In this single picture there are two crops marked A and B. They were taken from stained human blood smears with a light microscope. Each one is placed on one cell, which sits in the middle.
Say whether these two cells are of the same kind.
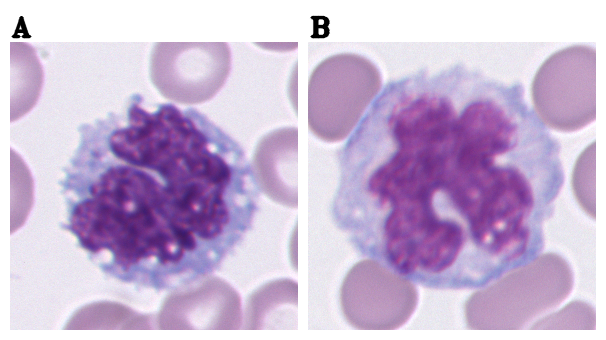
yes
